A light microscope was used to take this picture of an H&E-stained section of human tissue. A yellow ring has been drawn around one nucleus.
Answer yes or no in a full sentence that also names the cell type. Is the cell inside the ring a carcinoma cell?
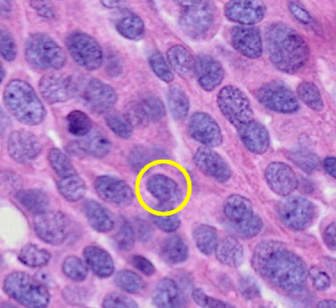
Yes, the cell inside the ring is accurately described as a carcinoma cell.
